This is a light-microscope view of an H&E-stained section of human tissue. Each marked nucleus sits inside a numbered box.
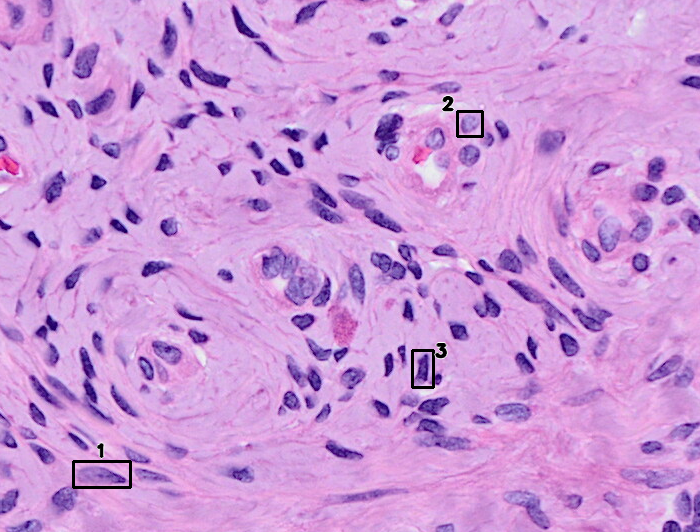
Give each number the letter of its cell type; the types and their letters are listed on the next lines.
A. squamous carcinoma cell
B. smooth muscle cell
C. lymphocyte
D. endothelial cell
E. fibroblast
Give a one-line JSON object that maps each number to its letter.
{"1": "E", "2": "B", "3": "E"}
